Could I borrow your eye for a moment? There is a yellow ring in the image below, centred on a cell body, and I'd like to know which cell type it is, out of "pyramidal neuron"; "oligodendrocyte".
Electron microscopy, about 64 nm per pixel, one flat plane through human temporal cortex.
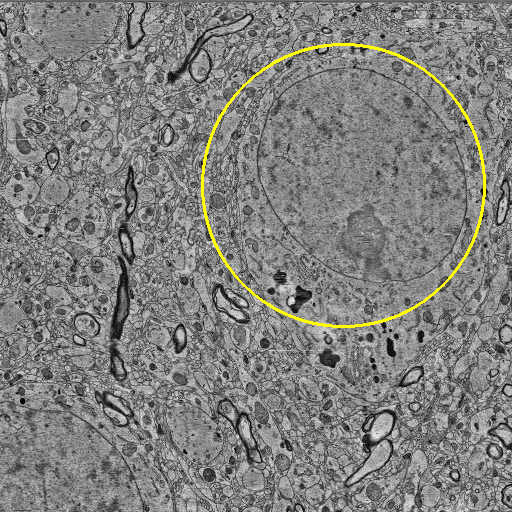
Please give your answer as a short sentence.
The cell body at the centre is that of a pyramidal neuron.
